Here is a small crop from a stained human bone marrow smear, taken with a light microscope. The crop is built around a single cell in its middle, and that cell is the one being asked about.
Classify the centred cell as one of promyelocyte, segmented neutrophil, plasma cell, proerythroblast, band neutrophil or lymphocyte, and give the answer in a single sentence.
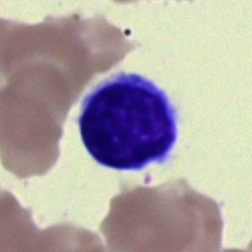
This particular crop is centered on a lymphocyte.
